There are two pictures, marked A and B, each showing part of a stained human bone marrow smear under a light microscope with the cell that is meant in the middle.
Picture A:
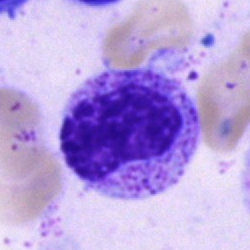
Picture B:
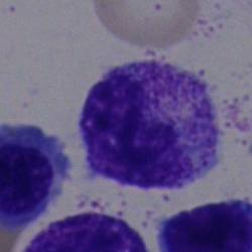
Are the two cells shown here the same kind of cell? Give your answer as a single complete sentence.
Yes, both are metamyelocytes.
